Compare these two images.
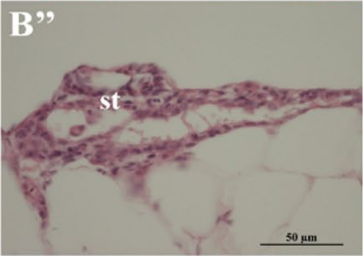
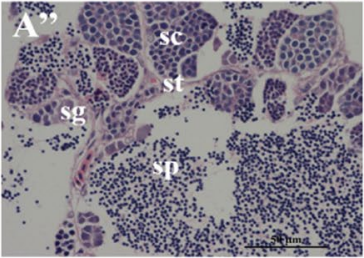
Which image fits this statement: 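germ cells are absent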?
the first image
